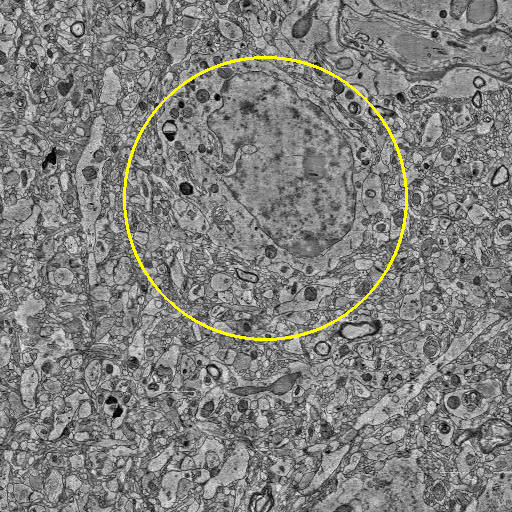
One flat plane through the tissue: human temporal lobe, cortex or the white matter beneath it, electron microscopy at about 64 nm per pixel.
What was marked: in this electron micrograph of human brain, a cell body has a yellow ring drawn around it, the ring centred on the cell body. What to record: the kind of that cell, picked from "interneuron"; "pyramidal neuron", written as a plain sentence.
The centred cell is an interneuron.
